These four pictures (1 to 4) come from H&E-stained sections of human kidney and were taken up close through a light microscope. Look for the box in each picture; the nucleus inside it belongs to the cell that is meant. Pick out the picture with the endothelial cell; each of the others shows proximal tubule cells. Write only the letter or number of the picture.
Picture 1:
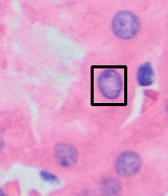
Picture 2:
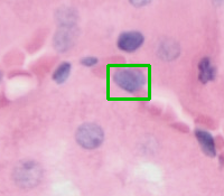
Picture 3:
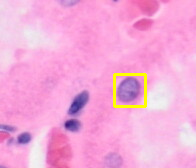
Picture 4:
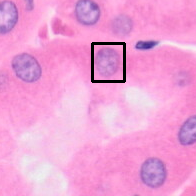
2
